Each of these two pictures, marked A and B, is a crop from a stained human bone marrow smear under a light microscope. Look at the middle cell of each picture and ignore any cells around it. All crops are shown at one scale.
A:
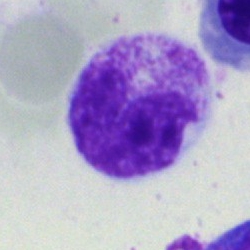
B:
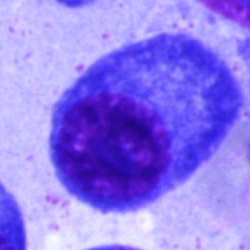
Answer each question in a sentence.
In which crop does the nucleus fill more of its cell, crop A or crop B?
The nucleus fills more of the cell in crop A than in crop B.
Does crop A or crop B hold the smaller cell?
Smaller is the cell in crop A, and the other is about 1.5 times as large in area.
